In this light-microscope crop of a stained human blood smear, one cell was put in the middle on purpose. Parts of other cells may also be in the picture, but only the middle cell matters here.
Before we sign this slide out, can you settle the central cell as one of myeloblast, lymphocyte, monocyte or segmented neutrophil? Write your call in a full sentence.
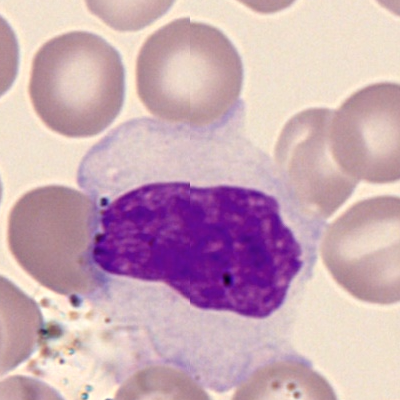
The middle cell in this particular crop is a lymphocyte.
